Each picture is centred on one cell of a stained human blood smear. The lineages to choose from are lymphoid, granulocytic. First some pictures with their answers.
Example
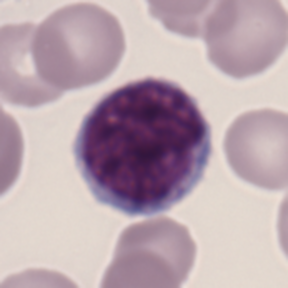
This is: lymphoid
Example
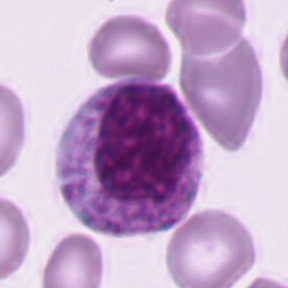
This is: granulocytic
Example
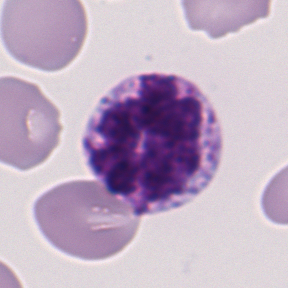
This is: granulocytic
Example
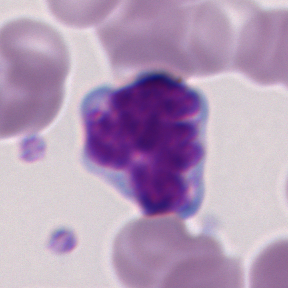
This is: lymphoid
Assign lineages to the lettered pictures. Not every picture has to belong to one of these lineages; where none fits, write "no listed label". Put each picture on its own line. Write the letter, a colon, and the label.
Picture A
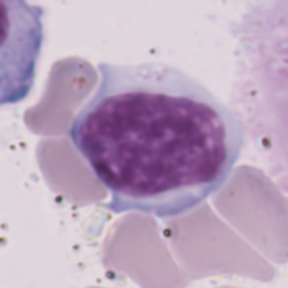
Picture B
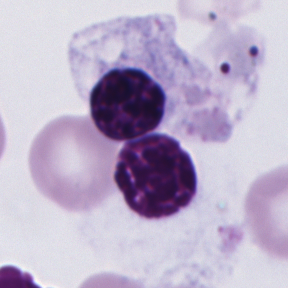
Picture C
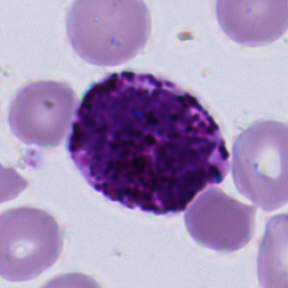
A: lymphoid
B: no listed label
C: granulocytic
